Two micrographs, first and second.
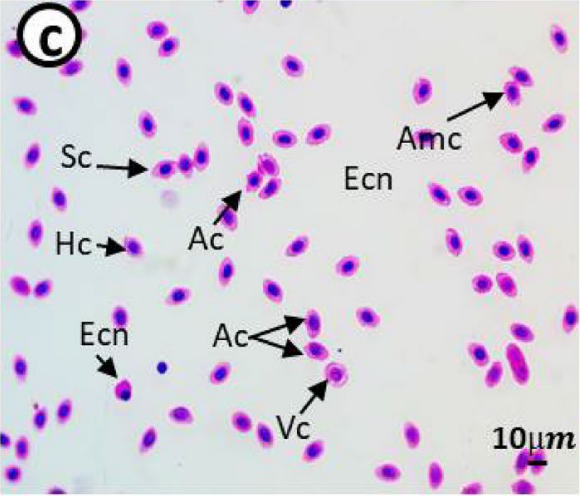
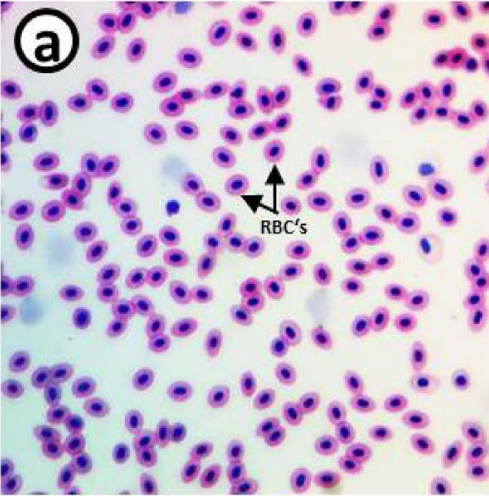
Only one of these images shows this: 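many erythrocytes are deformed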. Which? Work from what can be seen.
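The first image. First image: many cells have irregular outlines, off-centre nuclei or clear holes in the cytoplasm. Second image: cells are uniformly smooth ovals with a central dark nucleus.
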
